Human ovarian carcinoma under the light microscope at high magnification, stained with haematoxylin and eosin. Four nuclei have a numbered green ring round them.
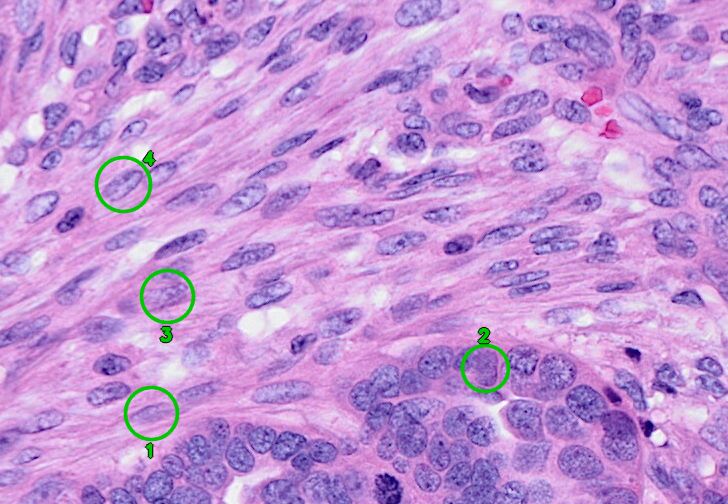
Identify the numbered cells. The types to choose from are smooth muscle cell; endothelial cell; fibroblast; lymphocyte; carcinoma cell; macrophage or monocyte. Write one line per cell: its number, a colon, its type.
1: fibroblast
2: carcinoma cell
3: fibroblast
4: fibroblast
